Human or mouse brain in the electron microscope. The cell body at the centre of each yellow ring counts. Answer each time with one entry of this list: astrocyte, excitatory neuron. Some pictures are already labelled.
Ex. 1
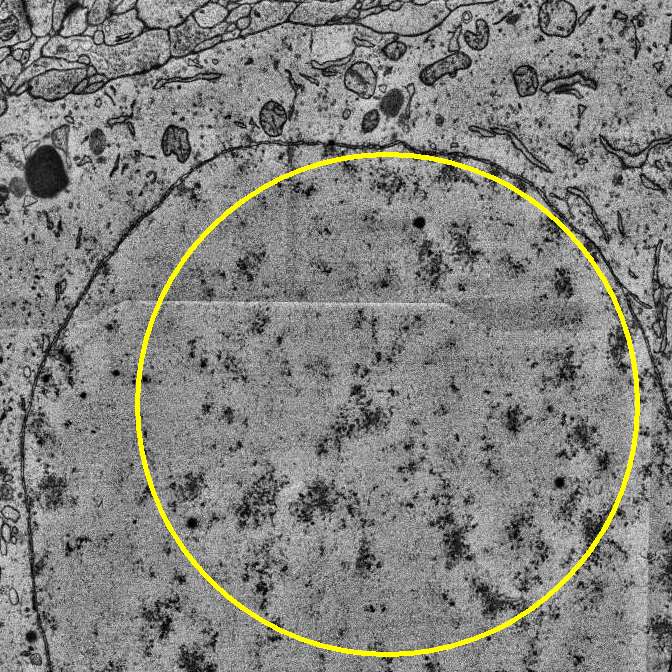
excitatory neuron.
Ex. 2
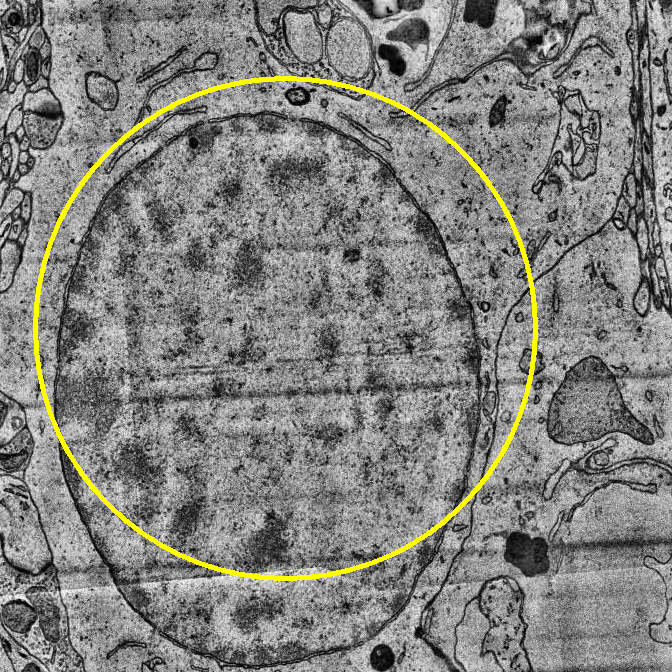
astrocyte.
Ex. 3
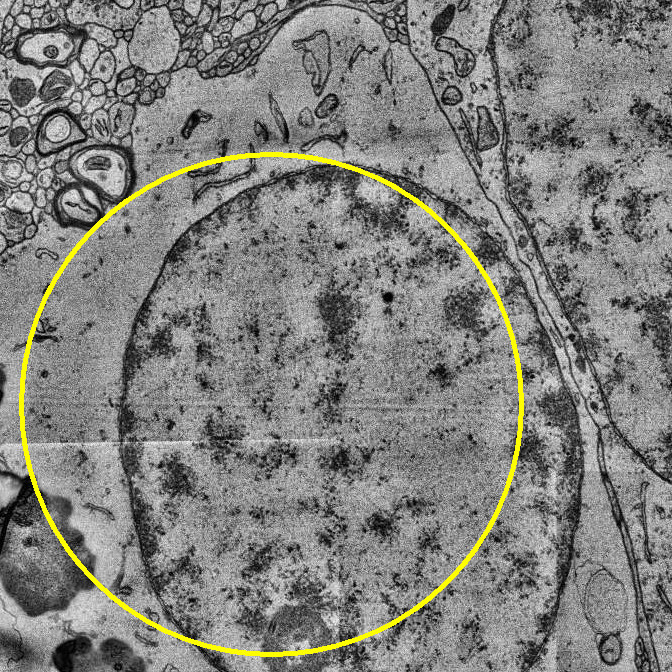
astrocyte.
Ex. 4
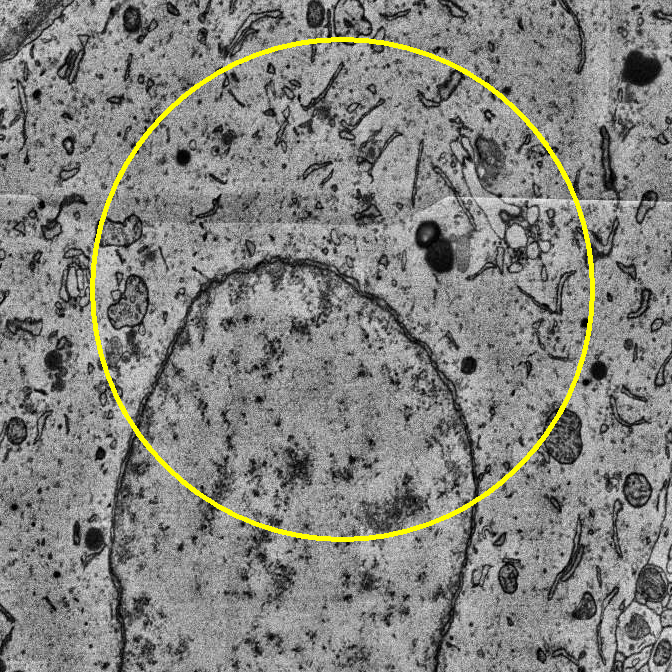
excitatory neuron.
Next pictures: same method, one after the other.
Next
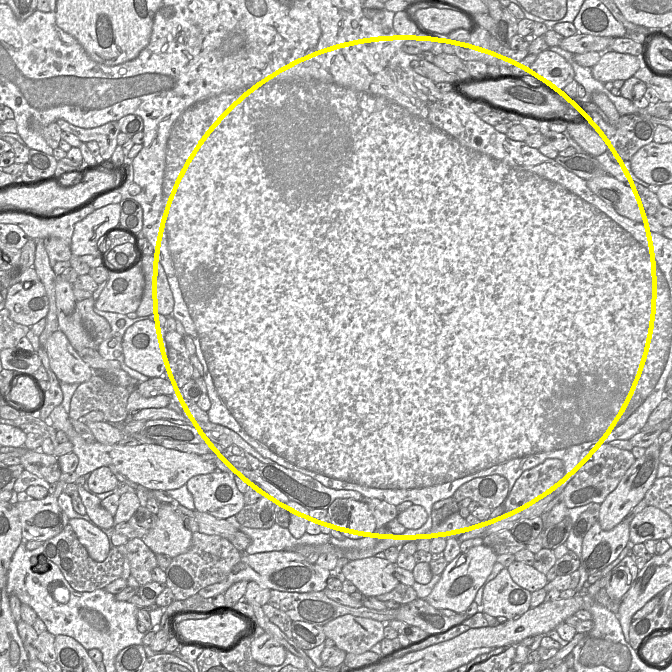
astrocyte.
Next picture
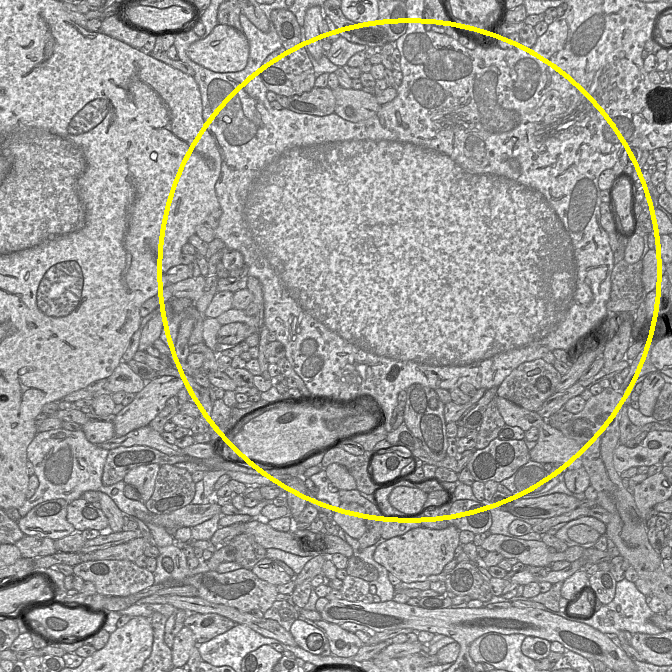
astrocyte.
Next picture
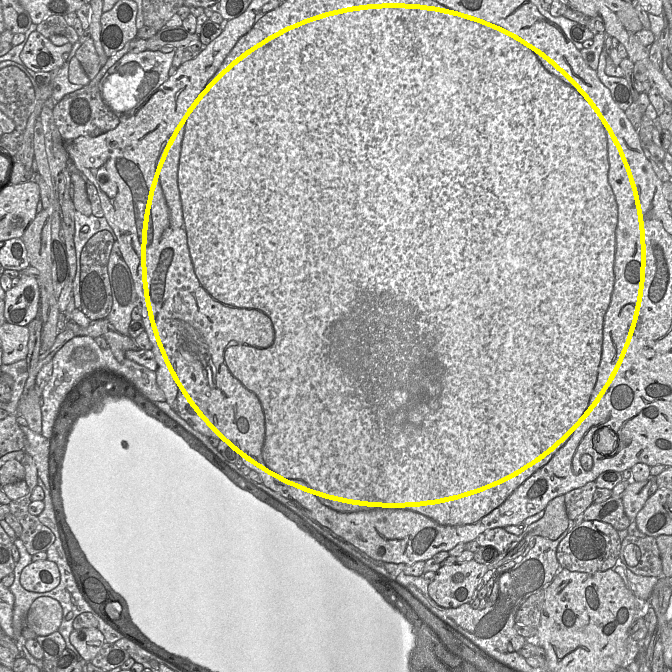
excitatory neuron.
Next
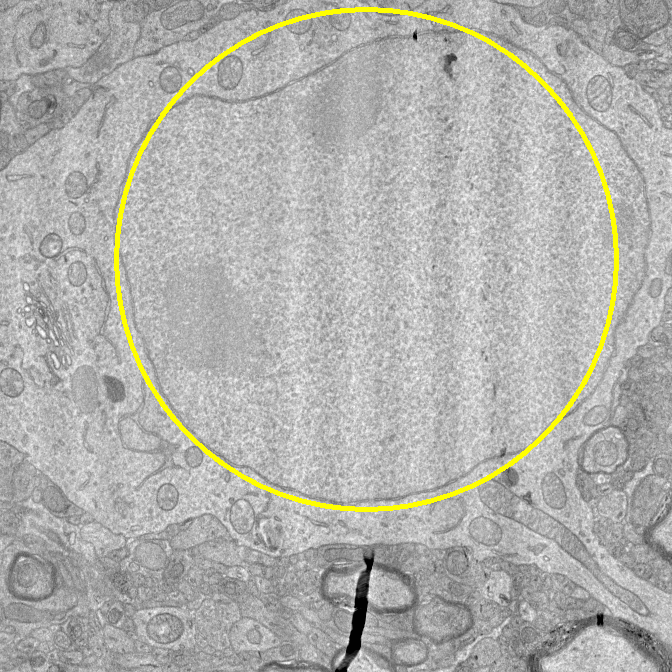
excitatory neuron.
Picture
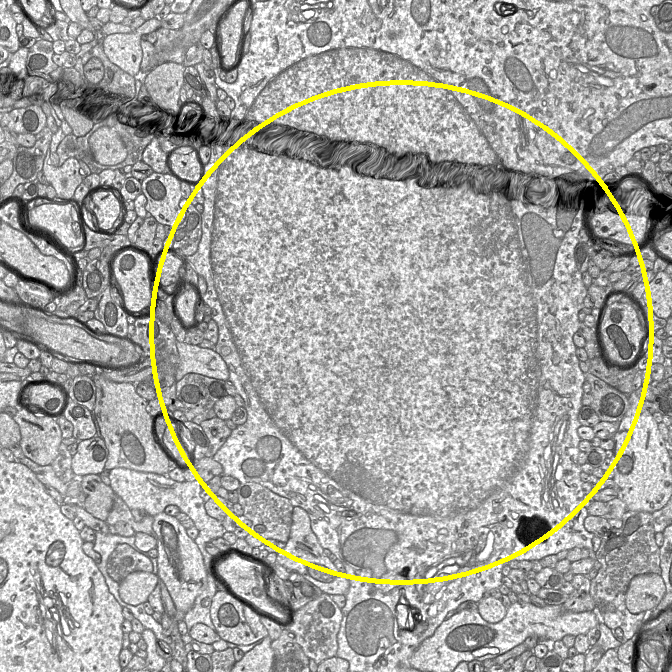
astrocyte.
